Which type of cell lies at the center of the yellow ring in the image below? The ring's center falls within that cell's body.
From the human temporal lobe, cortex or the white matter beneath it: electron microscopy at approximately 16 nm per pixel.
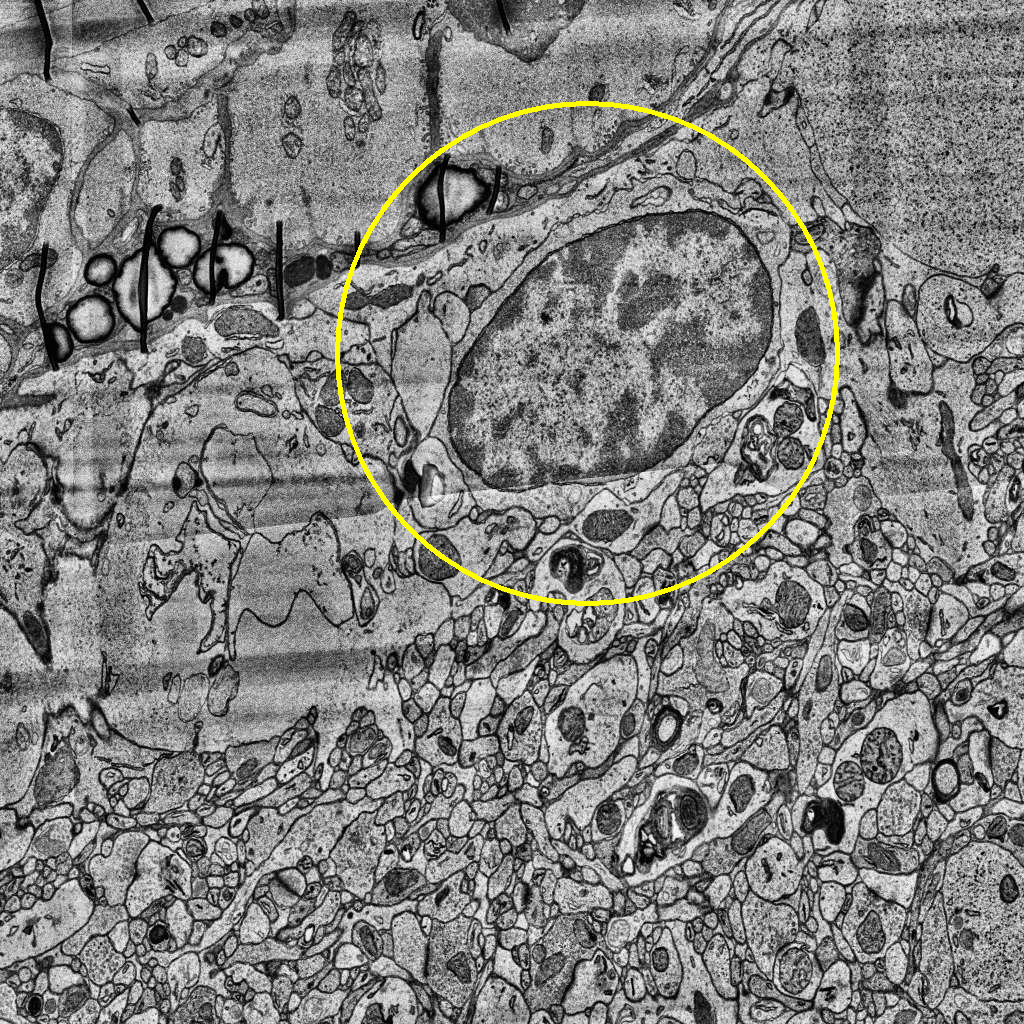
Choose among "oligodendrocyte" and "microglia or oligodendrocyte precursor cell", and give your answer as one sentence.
The cell body at the center belongs to a microglial cell or oligodendrocyte precursor cell.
